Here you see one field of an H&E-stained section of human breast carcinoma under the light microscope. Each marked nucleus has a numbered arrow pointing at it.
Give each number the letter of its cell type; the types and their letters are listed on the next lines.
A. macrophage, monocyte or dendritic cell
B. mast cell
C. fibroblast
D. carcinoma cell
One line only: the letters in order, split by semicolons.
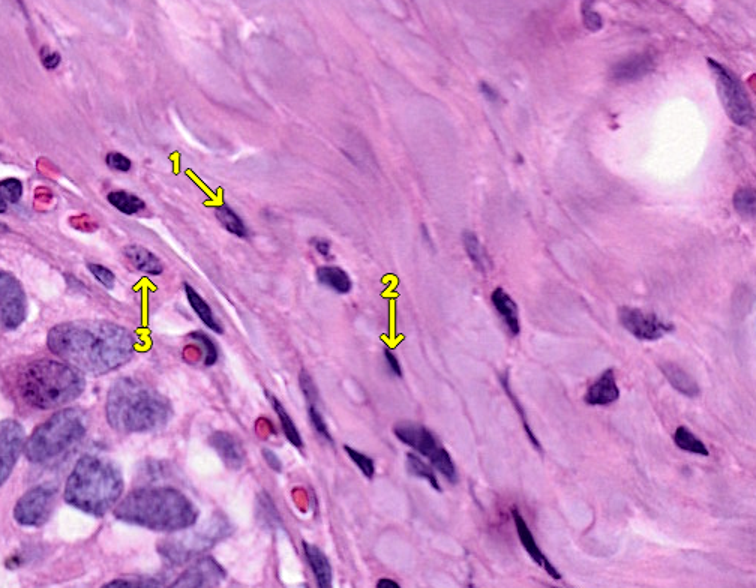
C; C; B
